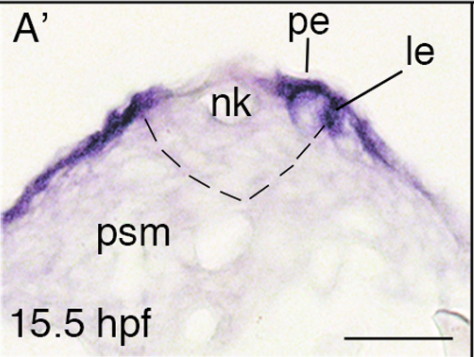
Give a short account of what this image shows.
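A cross section through the dorsal trunk of an embryo shows a wedge-shaped neural keel at the midline, outlined by a dashed line, sitting among loosely packed, rounded cells of the presomitic mesoderm. A thin ectodermal layer covers the dorsal surface, and dark purple stain marks ectodermal cells in this layer, most intense at the lateral edges of the keel beneath a flat superficial periderm.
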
